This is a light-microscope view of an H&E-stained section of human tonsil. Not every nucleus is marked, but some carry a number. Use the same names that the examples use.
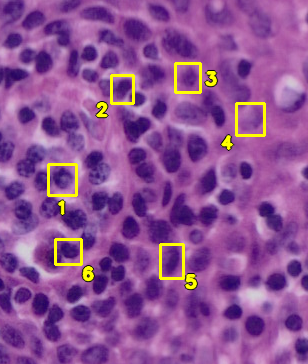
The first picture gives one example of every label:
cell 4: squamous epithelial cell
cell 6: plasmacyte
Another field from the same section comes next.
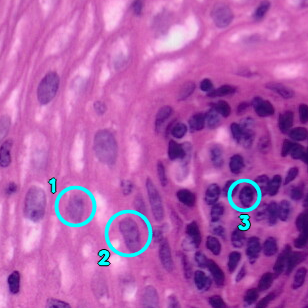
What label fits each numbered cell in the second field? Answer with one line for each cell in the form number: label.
1: squamous epithelial cell
2: squamous epithelial cell
3: plasmacyte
